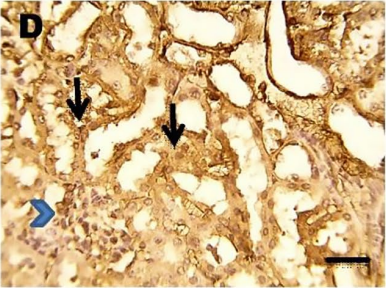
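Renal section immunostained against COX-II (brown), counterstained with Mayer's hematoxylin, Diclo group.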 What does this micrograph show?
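This is kidney cortex with many tubules cut across, their lumens showing as wide white spaces lined by a single layer of epithelial cells. The walls and cytoplasm of the tubule cells and the tissue between them are stained an intense brown, while nuclei show as small blue-purple dots. Many of the lumens look dilated and some epithelium appears thinned or frayed. At the left edge a crowded cluster of nuclei lies where a glomerulus would be expected. The overall impression is of tubules whose lining is heavily stained throughout.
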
